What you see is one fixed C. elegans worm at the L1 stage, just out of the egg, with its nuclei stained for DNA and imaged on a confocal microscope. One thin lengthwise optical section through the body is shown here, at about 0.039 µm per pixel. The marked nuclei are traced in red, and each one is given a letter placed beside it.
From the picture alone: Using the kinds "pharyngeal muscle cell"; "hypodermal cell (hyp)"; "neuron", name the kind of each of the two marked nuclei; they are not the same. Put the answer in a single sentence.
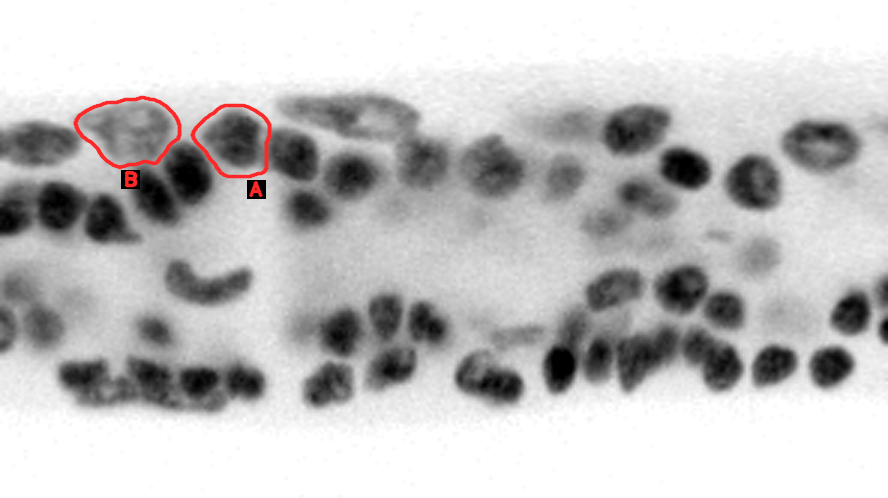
A is the nucleus of a neuron; B is the nucleus of a hypodermal cell (hyp).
